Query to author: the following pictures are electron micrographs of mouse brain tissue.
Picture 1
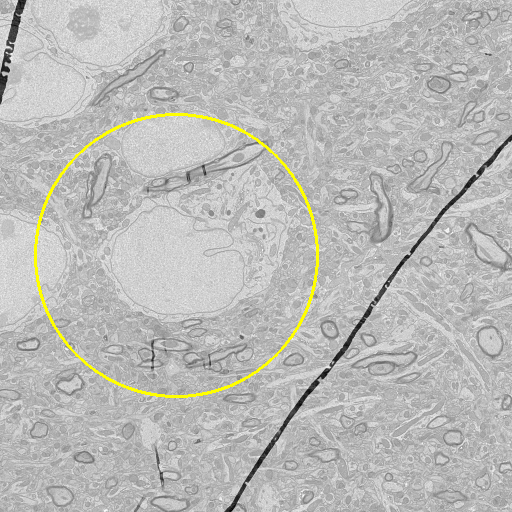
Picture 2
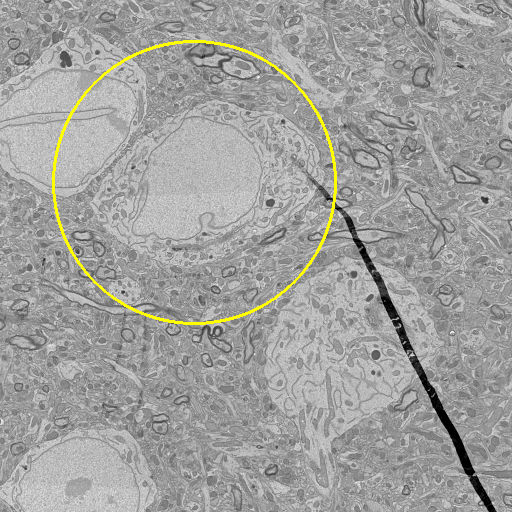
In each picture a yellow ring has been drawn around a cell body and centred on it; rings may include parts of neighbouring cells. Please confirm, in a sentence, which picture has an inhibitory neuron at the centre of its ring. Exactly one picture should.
Picture 2 has it at the centre of its ring.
